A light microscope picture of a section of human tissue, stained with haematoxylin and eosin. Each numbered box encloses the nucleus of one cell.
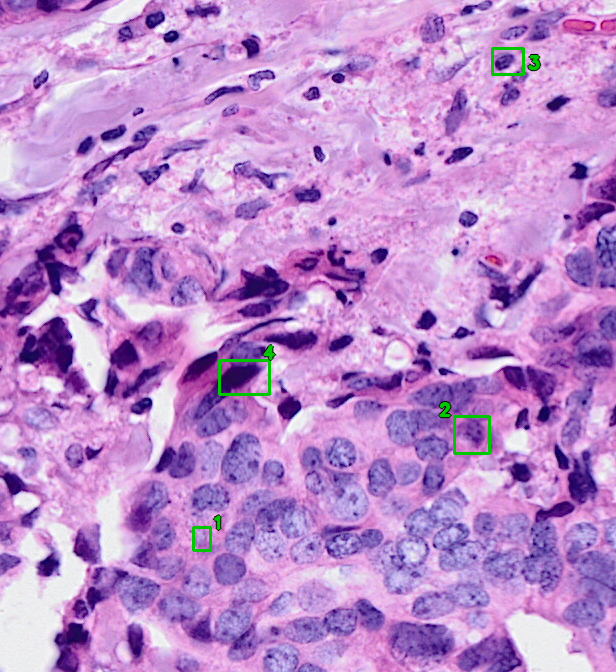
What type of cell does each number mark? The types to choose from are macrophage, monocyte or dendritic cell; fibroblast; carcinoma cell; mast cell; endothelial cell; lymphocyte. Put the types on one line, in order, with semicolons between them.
carcinoma cell; carcinoma cell; lymphocyte; carcinoma cell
